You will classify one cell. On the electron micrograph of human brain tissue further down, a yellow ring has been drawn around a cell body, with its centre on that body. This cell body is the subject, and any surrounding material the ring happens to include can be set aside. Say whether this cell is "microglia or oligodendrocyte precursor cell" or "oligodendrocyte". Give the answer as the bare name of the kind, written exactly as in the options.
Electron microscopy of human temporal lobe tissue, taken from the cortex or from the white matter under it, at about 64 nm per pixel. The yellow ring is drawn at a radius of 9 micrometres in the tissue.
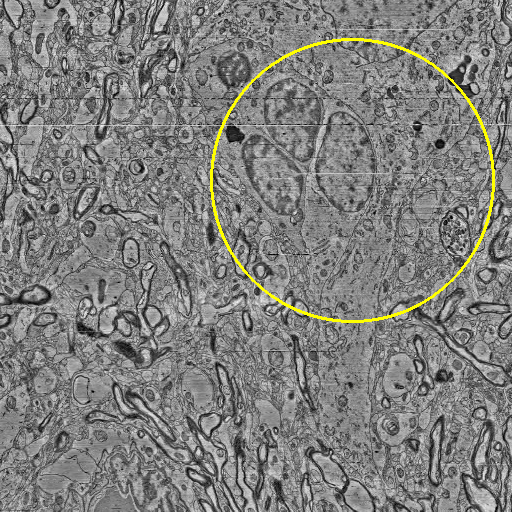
microglia or oligodendrocyte precursor cell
